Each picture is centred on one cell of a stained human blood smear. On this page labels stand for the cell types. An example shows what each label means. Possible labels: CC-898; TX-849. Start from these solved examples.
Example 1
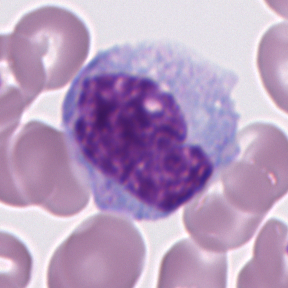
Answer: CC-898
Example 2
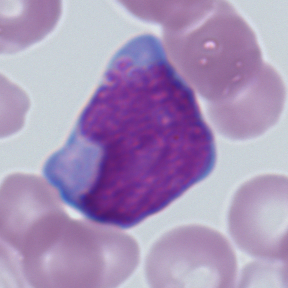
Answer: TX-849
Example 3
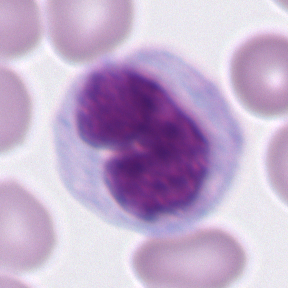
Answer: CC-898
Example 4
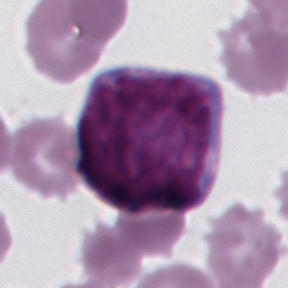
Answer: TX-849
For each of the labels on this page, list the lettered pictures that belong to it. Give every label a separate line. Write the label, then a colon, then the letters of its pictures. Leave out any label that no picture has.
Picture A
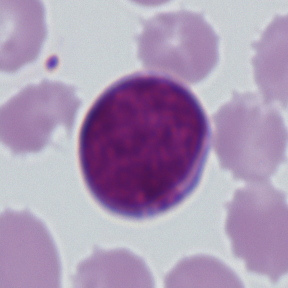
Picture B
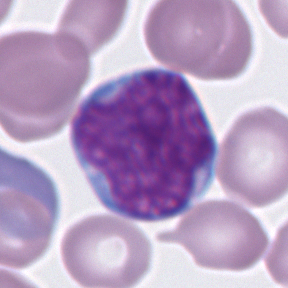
TX-849: A, B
